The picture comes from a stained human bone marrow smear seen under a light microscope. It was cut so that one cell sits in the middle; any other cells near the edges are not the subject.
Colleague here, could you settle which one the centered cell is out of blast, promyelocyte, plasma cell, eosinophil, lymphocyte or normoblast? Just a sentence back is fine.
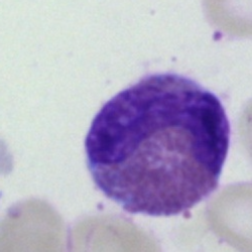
Looking at the middle of the crop, the cell there is an eosinophil.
